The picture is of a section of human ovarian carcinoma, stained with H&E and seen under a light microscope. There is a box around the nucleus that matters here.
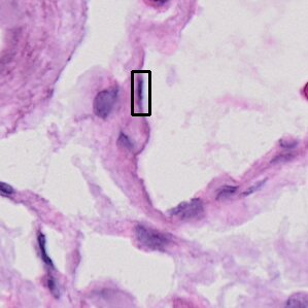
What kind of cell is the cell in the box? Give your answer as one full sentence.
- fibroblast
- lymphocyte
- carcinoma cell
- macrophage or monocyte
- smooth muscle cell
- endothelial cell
The cell in the box appears to be an endothelial cell.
